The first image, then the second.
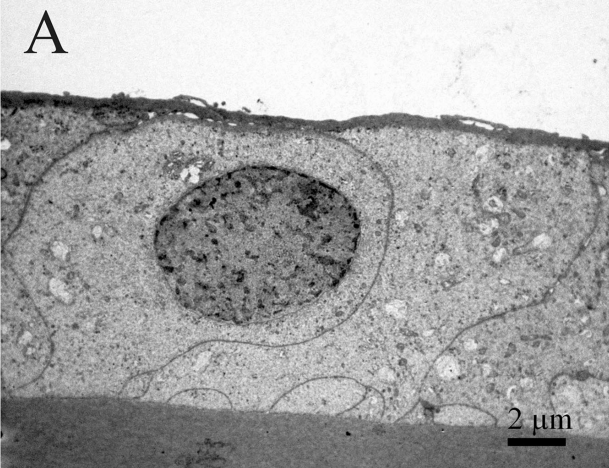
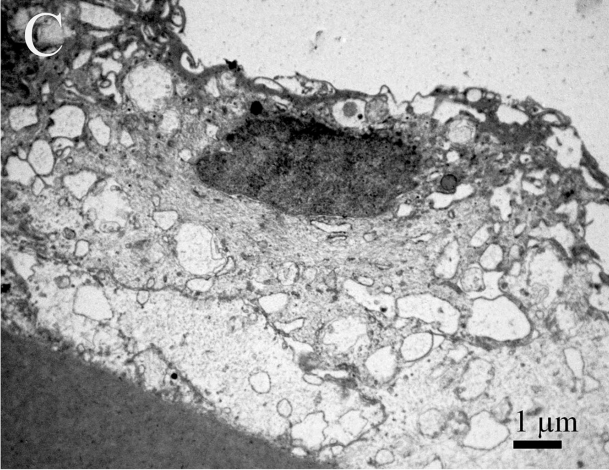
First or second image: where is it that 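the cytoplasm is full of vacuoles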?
the second image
